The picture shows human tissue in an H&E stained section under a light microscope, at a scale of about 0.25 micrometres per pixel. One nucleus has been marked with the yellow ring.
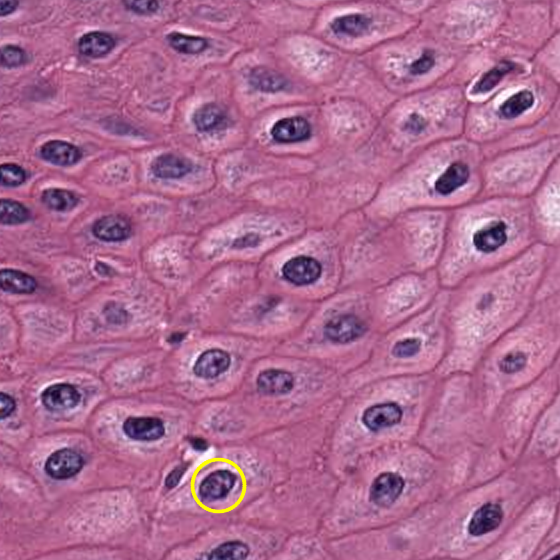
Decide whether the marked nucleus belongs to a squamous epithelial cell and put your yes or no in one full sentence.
Yes, the marked nucleus is a part of a squamous epithelial cell.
